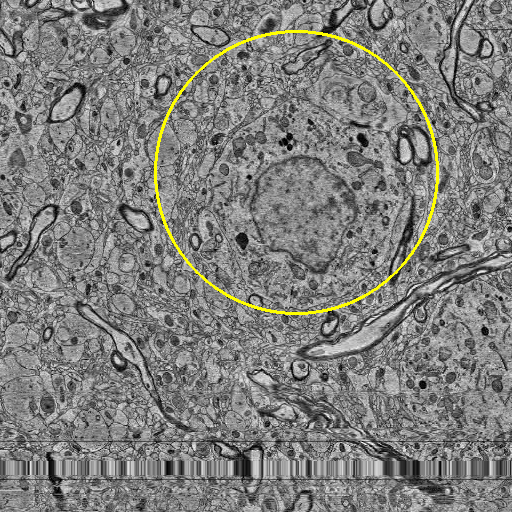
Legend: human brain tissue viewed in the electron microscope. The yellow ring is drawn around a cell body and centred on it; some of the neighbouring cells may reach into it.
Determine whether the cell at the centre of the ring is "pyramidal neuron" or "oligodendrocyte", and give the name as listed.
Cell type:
pyramidal neuron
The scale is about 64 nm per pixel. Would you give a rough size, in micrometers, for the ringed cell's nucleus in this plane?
The nucleus has a long axis of about 8 micrometres and a short axis of about 6 micrometres in this plane.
